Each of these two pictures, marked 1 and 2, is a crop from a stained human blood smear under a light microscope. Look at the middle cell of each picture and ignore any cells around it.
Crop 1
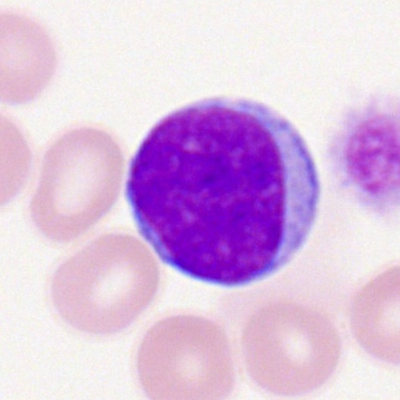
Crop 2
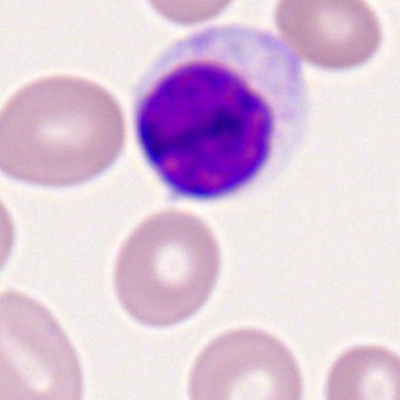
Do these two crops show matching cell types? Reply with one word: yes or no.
no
